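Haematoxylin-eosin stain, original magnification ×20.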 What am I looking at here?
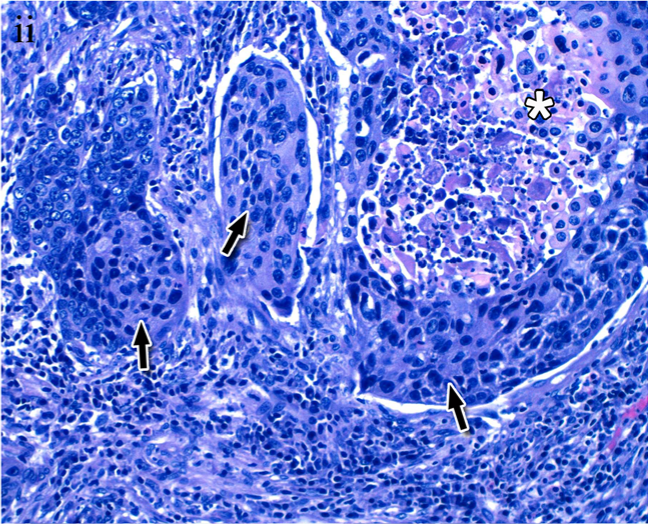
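In the centre of the largest nest the cells have broken down into loose pink necrotic debris with scattered detached cells. Around the nests lies a stroma crowded with small, dark inflammatory cells.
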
